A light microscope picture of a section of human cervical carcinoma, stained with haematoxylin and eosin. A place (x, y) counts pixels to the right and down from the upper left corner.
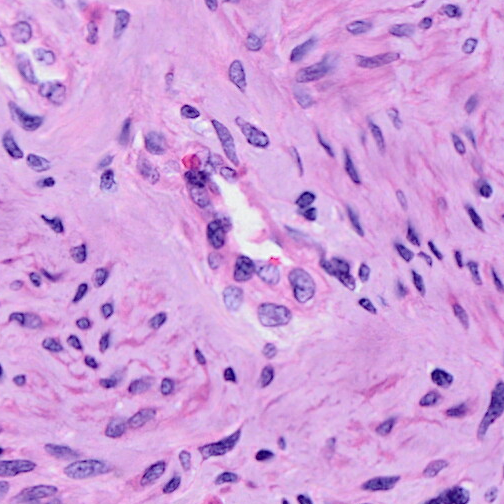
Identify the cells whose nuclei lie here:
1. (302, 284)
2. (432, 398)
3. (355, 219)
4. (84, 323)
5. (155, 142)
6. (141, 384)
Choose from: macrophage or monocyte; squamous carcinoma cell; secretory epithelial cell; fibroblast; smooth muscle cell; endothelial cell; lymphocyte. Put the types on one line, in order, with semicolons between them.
endothelial cell; smooth muscle cell; fibroblast; smooth muscle cell; endothelial cell; smooth muscle cell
